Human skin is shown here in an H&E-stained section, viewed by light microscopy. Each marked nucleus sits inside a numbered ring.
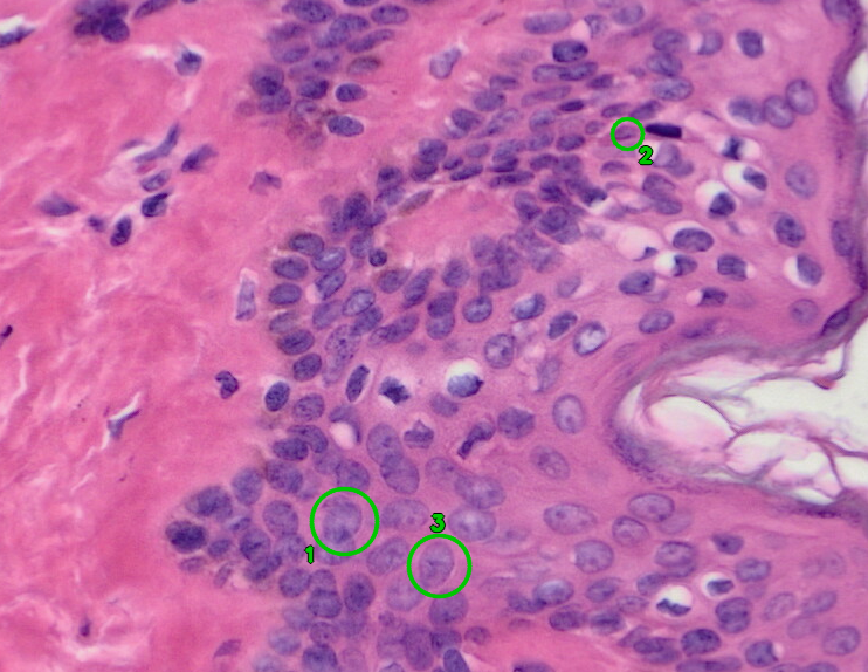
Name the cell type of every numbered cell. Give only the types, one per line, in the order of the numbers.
suprabasal keratinocyte
basal keratinocyte
suprabasal keratinocyte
